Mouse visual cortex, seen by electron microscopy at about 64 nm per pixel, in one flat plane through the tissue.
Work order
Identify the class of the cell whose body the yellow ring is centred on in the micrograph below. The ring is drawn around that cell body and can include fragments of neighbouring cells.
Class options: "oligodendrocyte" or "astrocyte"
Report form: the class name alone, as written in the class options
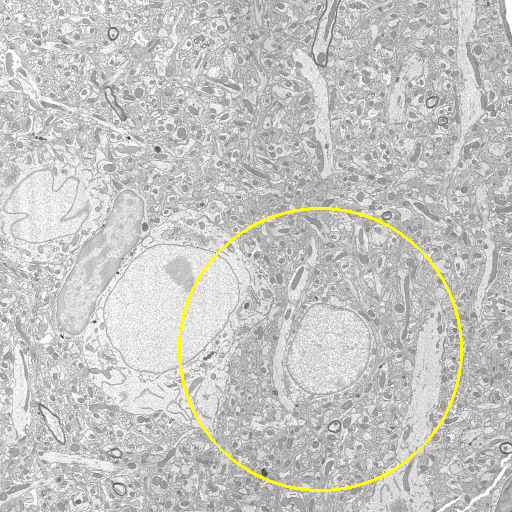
astrocyte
